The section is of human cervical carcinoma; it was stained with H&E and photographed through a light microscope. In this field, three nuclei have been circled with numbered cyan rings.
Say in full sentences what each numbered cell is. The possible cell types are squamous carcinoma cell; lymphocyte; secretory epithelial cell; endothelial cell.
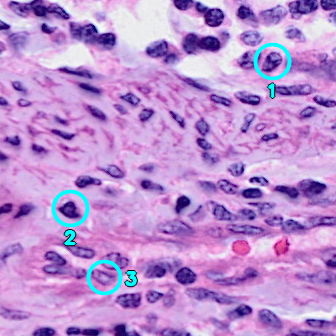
Cells 1 and 2 are lymphocytes. Cell 3 is an endothelial cell.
